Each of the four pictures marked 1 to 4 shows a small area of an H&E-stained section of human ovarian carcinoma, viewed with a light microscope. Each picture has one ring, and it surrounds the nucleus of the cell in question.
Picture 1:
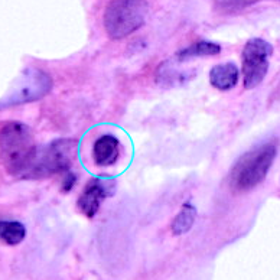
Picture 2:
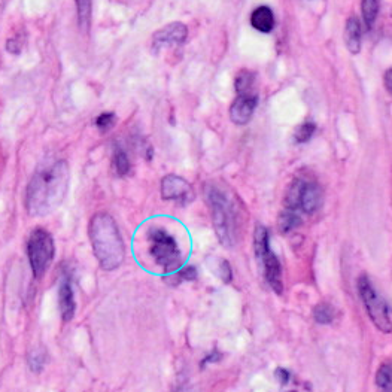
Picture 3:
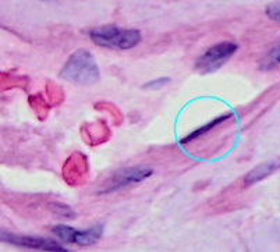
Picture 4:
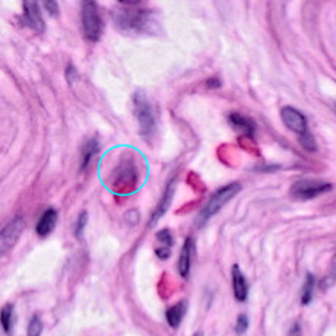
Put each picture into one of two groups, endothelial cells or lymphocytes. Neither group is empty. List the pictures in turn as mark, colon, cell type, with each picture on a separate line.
1: lymphocyte
2: lymphocyte
3: endothelial cell
4: endothelial cell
